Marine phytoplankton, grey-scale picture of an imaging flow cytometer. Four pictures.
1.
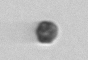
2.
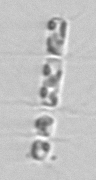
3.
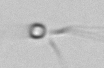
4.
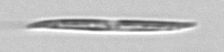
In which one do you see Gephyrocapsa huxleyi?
In picture 1.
